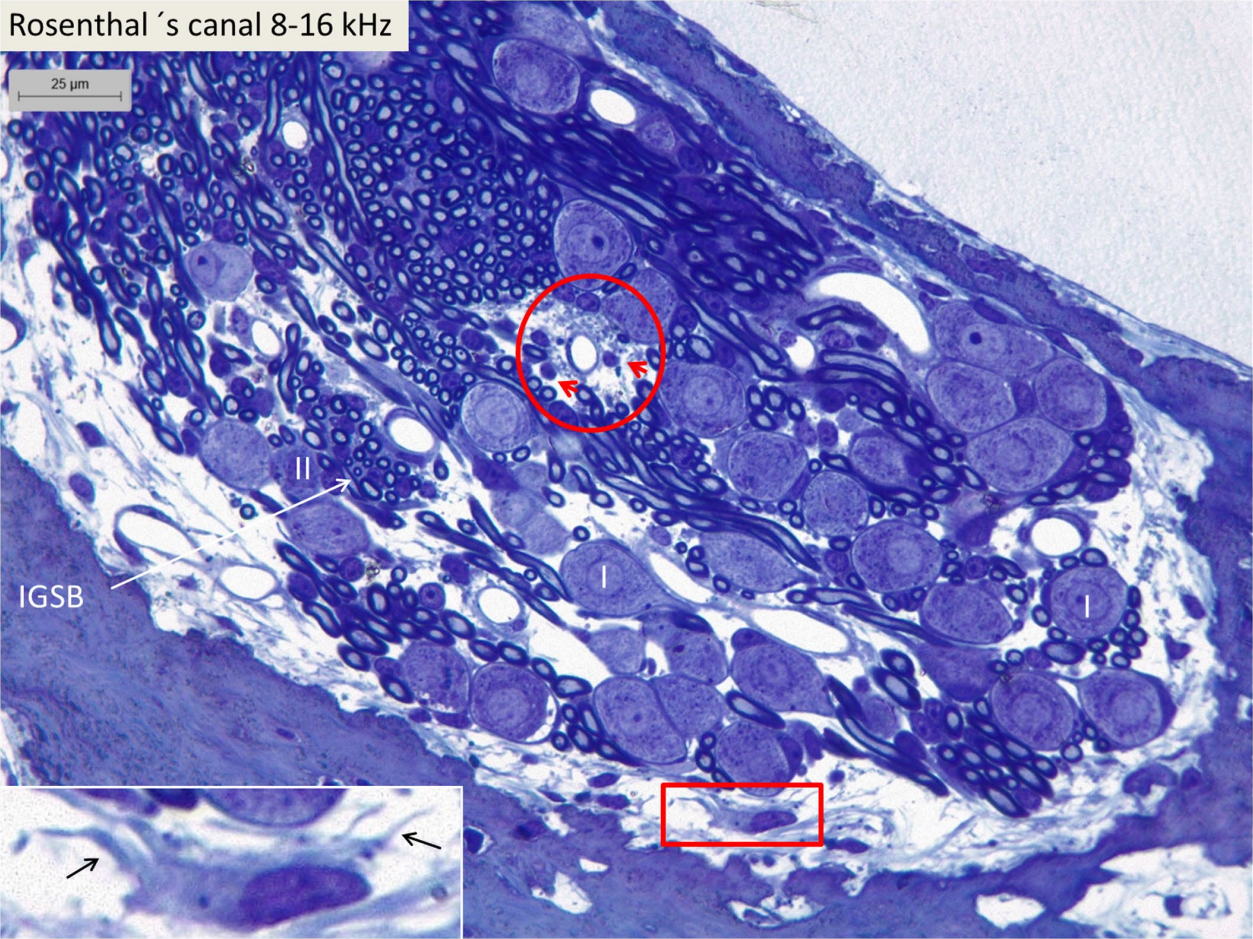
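This section shows a spiral ganglion with many neuron cell bodies lying among bundles of nerve fibers, all stained in shades of blue and purple. Most neuron cell bodies are large, round to oval, with pale finely granular cytoplasm and a round nucleus, often with a visible dark nucleolus. Between them run numerous nerve fibers cut across as small dark rings with pale centres, or cut lengthwise as dark elongated strands. Several small blood vessels appear as clear oval spaces, and around one of them small round darkly stained cells are gathered. At the lower edge, loose pale connective tissue separates the ganglion from the dense bony wall, and an elongated cell with a dark oblong nucleus lies there, whose thin processes are visible in the enlarged inset.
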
